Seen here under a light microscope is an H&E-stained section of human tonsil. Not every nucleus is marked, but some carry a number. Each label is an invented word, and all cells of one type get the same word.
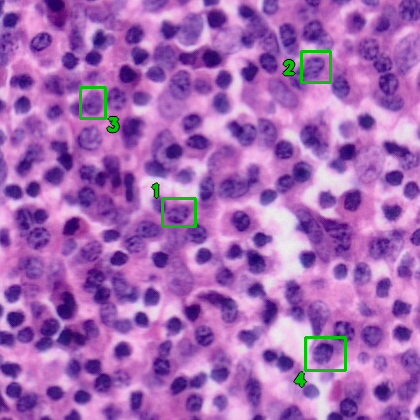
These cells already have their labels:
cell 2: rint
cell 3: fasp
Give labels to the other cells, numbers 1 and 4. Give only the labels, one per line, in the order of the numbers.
rint
rint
